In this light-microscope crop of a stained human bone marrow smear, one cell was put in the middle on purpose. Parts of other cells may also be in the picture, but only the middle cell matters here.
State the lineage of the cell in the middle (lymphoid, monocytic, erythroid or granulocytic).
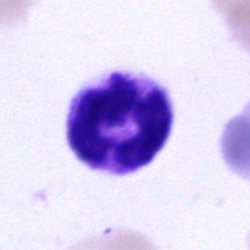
granulocytic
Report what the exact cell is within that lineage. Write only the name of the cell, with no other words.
segmented neutrophil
